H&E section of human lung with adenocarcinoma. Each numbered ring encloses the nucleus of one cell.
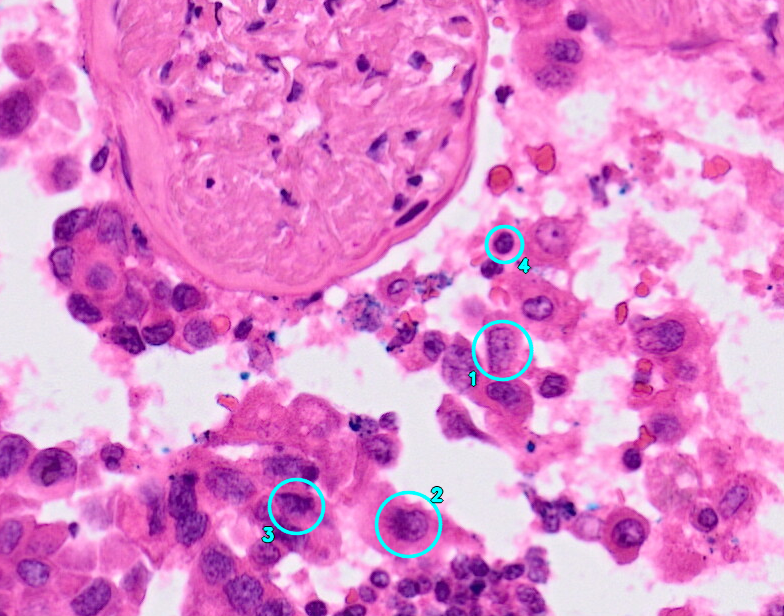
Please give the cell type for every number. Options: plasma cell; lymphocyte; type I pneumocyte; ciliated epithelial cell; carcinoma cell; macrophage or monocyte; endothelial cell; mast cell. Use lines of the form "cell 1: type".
cell 1: carcinoma cell
cell 2: carcinoma cell
cell 3: carcinoma cell
cell 4: lymphocyte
